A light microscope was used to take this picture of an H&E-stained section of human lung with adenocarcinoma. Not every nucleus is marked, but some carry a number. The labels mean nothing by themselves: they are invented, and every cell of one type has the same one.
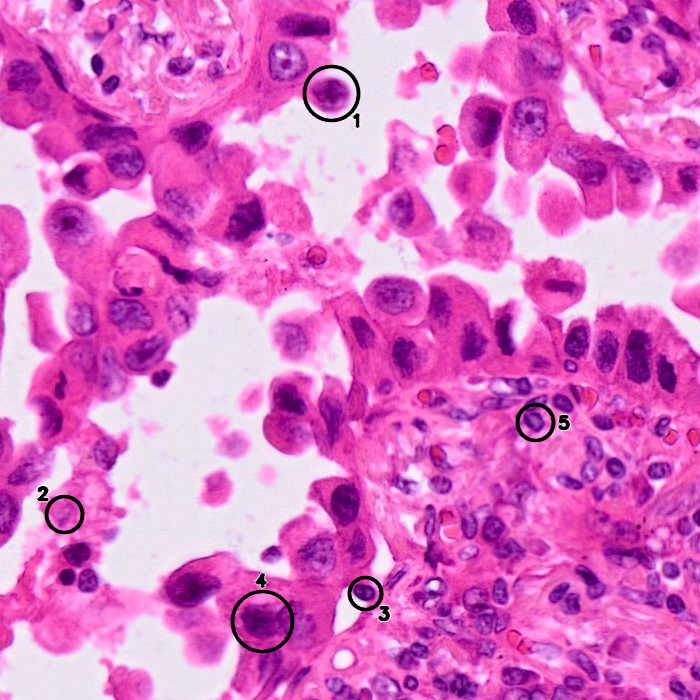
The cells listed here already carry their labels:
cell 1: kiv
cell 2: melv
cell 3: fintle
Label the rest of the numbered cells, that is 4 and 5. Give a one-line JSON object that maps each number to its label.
{"4": "kiv", "5": "fintle"}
